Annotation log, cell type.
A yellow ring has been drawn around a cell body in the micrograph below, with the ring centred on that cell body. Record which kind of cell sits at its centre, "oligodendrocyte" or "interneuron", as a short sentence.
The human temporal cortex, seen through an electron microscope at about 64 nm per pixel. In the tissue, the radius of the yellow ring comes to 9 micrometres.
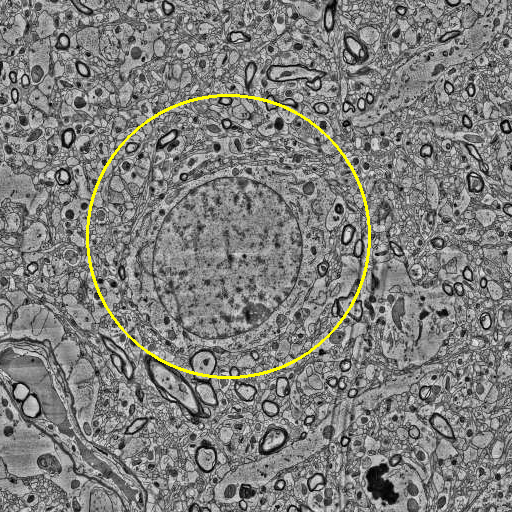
The cell at the centre of this ring is an interneuron.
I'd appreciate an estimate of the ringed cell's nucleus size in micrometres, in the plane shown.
Roughly 10 micrometres across for the nucleus, in this plane.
